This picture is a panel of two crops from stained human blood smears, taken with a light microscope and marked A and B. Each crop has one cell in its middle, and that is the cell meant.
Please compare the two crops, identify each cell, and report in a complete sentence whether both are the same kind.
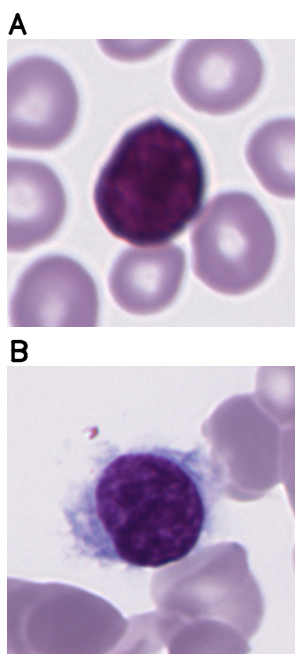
No, a hairy cell is the cell in crop B, and crop A contains a blast.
